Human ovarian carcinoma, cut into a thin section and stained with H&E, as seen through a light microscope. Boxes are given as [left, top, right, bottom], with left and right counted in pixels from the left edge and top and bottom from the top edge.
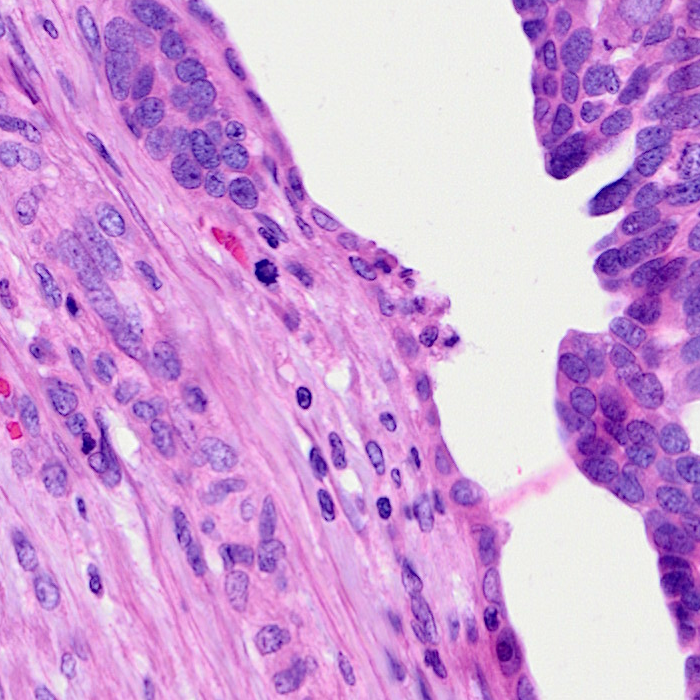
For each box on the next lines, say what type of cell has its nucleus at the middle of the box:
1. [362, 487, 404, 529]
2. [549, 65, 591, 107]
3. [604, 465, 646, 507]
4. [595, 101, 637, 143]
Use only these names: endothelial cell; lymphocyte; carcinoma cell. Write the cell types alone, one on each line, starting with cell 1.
lymphocyte
carcinoma cell
carcinoma cell
carcinoma cell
